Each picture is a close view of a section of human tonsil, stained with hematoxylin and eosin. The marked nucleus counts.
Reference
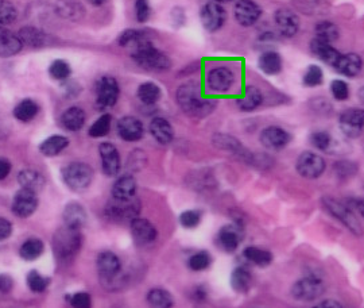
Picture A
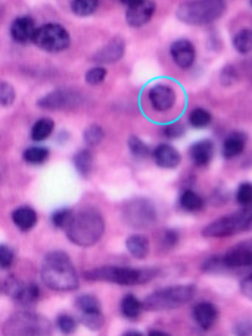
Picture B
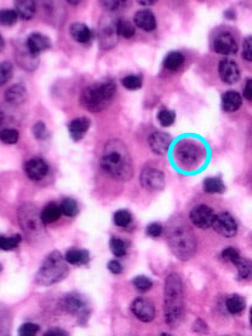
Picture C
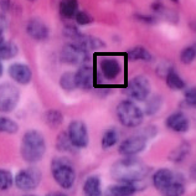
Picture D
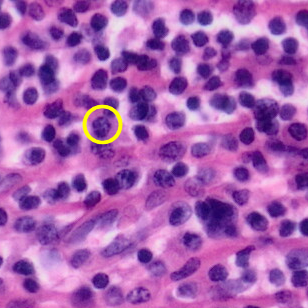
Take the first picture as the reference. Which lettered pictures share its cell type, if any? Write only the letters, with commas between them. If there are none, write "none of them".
A, B, C, D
